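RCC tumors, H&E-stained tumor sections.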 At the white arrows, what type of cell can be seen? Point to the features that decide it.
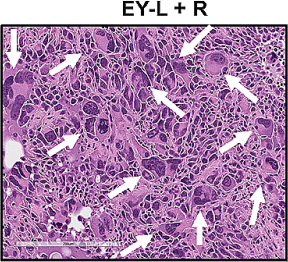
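The arrowed cells are several times larger than the surrounding tumor cells. The arrowed cells contain more than one dark purple nucleus or large irregular nuclear masses. The arrowed cells have abundant pink to purple cytoplasm.
Hence: large multinucleated cells.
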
